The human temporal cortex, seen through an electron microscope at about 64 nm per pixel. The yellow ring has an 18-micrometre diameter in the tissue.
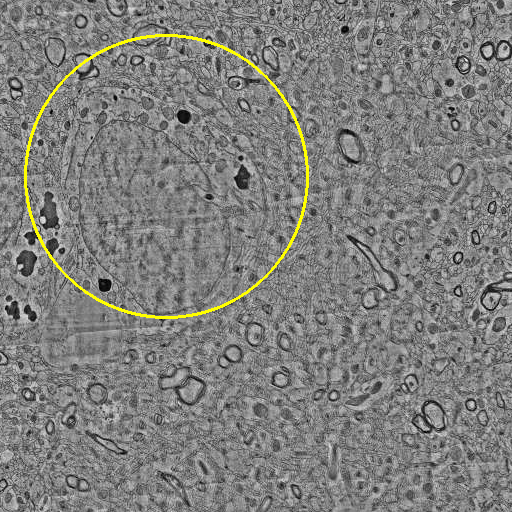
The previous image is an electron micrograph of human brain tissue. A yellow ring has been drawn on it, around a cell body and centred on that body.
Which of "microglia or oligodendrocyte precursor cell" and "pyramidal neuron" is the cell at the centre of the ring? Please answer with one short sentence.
The cell body at the centre of the ring belongs to a pyramidal neuron.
